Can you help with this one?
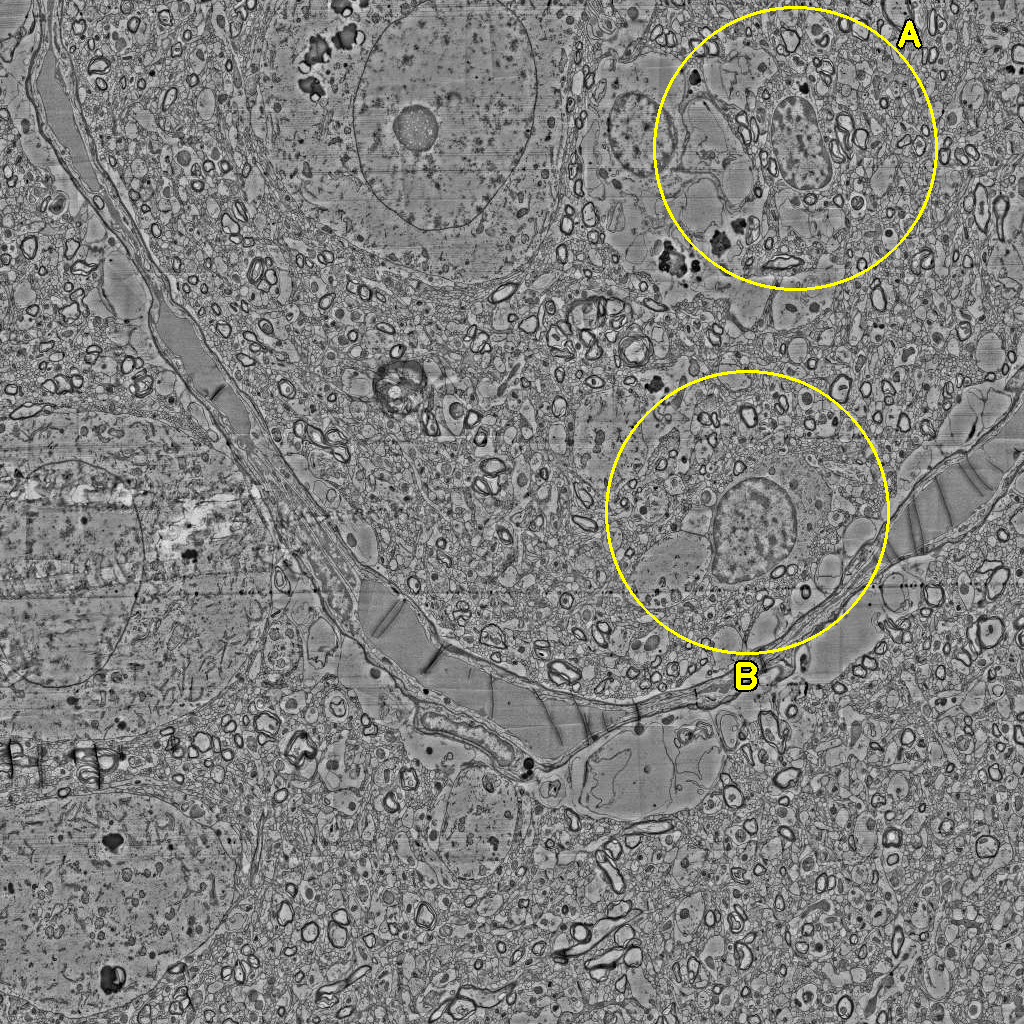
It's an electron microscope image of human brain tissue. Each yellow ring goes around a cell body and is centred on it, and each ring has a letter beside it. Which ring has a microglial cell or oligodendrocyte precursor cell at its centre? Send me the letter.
A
